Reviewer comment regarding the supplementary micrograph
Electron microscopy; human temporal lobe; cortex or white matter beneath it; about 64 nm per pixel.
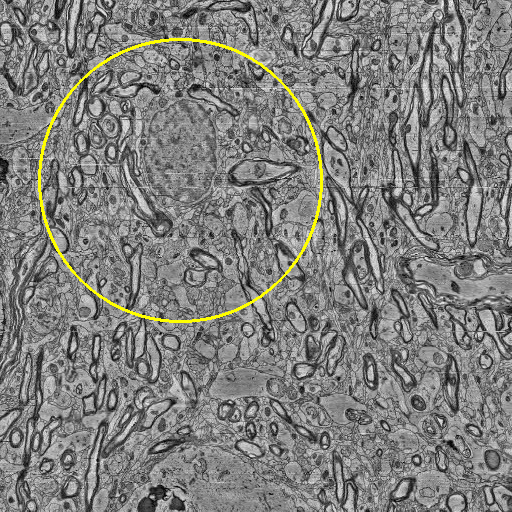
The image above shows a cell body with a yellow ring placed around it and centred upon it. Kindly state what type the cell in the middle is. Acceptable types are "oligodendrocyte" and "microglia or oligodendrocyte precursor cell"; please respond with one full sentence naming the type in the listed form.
In the image above, the cell on which the yellow ring is centred is an oligodendrocyte.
